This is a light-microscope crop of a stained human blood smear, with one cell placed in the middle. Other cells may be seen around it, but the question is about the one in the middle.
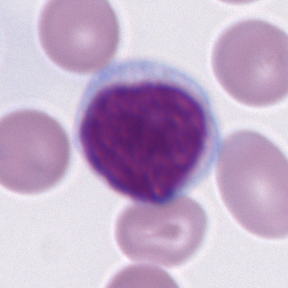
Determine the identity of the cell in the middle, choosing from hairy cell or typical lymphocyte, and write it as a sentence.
The cell in the middle of this crop is a typical lymphocyte.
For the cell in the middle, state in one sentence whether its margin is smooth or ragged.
Expected answer: a smooth cell outline without projections of any sort.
